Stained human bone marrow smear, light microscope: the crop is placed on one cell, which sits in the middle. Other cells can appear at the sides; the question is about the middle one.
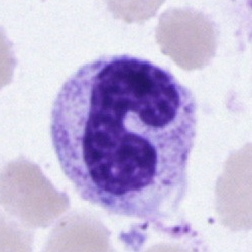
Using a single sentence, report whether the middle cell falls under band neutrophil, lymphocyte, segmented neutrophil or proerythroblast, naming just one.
Here the centrally located cell is a band neutrophil.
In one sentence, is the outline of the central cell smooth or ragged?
The membrane contour is even and smooth, with nothing projecting from it.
